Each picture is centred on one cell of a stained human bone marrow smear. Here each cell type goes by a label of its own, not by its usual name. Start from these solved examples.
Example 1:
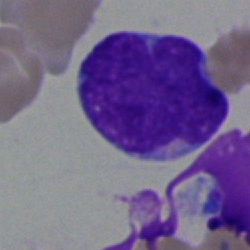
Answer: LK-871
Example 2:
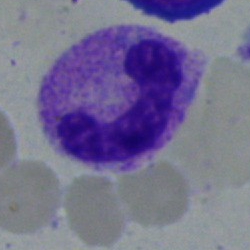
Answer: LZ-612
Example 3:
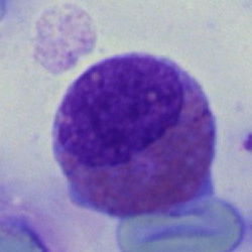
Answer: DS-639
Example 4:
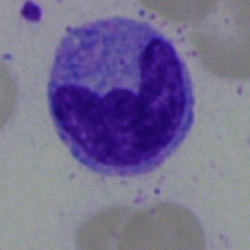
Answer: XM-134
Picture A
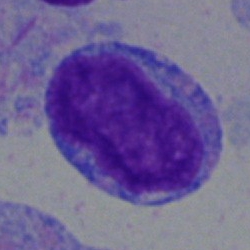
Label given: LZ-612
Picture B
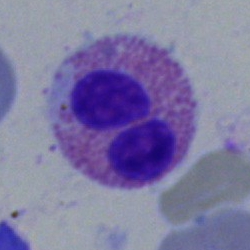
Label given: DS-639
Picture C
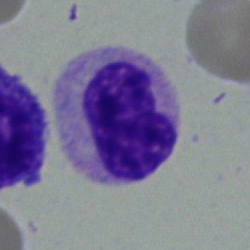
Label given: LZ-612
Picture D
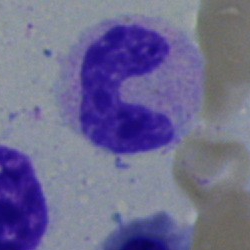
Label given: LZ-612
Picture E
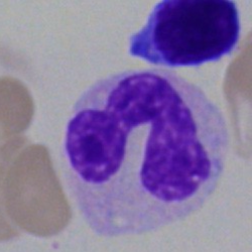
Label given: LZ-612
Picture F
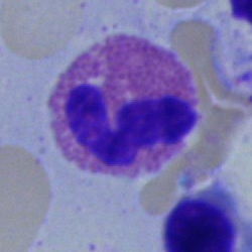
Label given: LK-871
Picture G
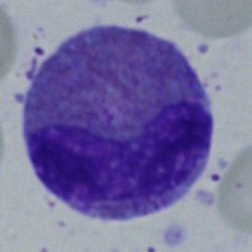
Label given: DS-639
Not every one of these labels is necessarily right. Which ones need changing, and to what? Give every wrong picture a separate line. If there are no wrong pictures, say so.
A should be LK-871, not LZ-612
F should be DS-639, not LK-871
